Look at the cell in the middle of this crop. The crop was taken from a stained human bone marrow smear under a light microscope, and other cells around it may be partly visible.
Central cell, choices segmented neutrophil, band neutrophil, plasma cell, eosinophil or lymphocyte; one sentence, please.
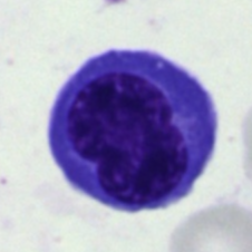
For this crop, the cell in the middle is a plasma cell.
